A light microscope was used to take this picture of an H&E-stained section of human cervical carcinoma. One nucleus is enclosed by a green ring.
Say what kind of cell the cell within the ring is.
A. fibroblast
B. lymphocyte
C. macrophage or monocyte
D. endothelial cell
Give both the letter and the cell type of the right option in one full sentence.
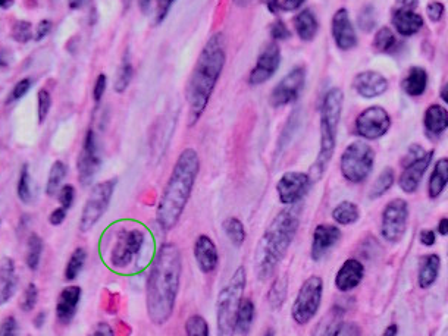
Option D gets it right, as the cell within the ring is an endothelial cell.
